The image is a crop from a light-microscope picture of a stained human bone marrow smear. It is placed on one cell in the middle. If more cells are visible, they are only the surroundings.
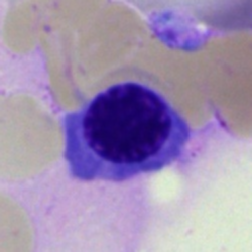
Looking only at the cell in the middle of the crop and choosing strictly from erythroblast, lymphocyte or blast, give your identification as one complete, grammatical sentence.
In the central position of this crop, the cell is an erythroblast.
